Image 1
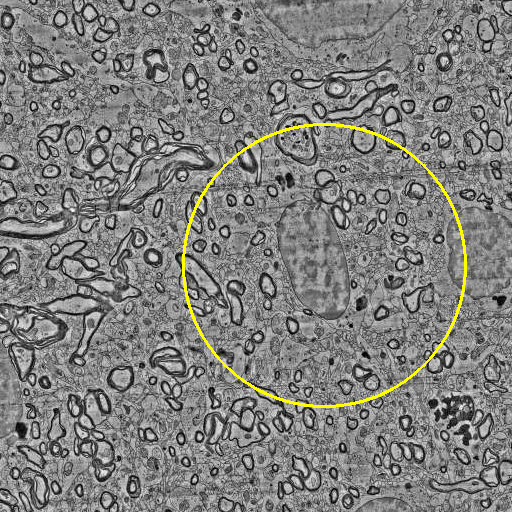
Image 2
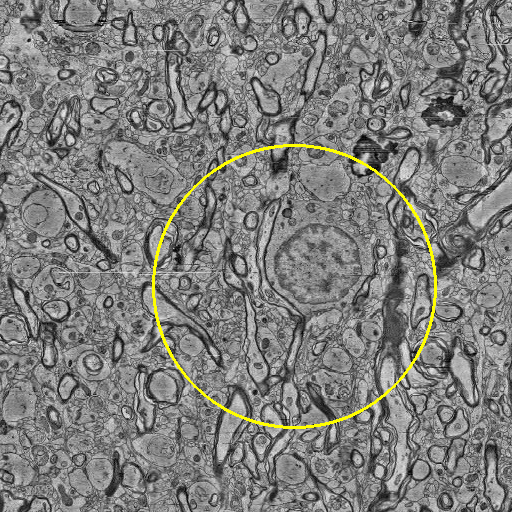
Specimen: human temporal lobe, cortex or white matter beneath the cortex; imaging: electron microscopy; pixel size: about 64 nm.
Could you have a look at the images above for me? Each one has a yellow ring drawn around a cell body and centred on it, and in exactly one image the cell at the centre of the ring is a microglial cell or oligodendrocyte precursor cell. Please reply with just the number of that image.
1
